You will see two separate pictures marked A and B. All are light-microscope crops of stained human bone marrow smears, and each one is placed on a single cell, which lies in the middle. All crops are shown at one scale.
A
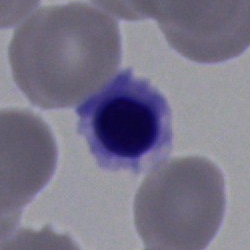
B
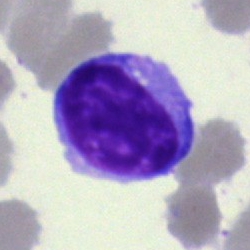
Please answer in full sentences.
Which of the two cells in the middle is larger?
The cell in crop B is larger, with about 2.5 times the area of the one in crop A.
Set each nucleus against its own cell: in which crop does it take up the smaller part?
Of the two, the nucleus in crop A leaves more room for cytoplasm.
